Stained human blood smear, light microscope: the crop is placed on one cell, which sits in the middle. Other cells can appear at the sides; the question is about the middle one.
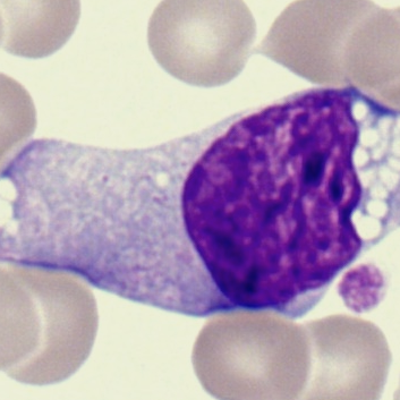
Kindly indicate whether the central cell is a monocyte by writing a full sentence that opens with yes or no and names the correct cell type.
Yes, that is right: the middle cell is a monocyte.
